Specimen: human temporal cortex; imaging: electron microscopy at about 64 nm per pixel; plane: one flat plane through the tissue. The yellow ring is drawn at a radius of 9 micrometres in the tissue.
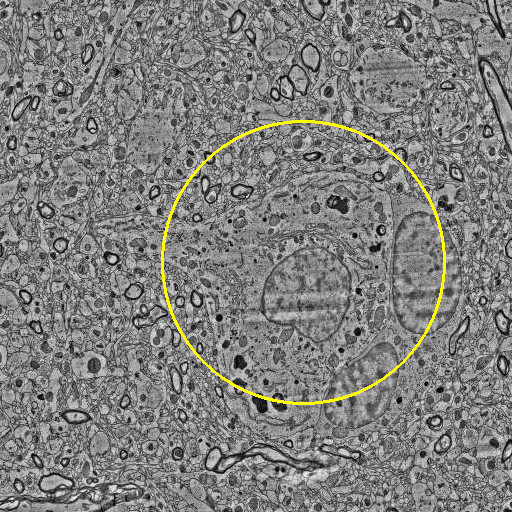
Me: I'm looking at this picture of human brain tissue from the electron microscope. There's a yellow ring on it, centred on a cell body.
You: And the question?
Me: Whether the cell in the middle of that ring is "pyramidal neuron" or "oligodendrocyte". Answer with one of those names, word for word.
pyramidal neuron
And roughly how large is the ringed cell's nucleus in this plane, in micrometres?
The nucleus is approximately 6 micrometers across in this plane.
